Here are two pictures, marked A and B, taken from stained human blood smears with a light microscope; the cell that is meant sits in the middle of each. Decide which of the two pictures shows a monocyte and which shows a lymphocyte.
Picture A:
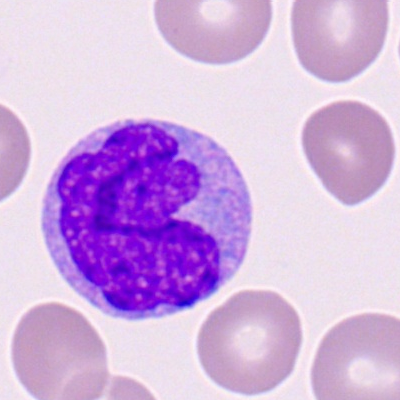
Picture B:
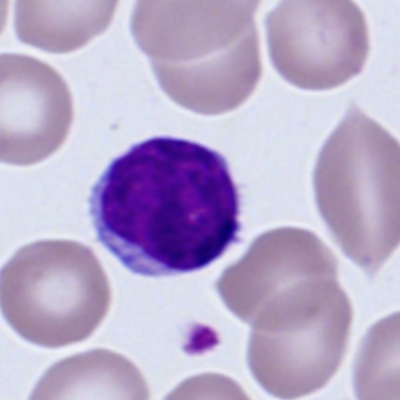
A: monocyte
B: lymphocyte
